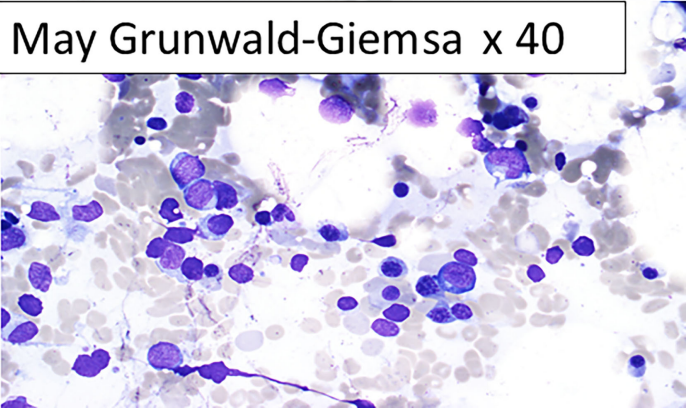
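Bone marrow aspirate with a particle in which scattered nucleated cells lie among many pale red blood cells. Some cells are small with round, dense, dark purple nuclei and little cytoplasm, like erythroid precursors, while others are larger, with rounder, less condensed nuclei and a rim of blue cytoplasm, like blasts.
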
